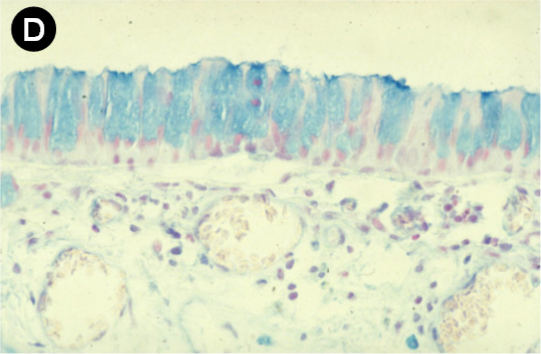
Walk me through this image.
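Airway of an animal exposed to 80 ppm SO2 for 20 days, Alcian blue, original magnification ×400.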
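The blue-filled cells are tall and packed closely side by side, forming most of the thickness of the epithelial layer. Small pinkish-red nuclei lie in a row near the base of the layer, beneath the blue material. The luminal surface is a fairly smooth blue border without a visible fringe of cilia. Below, the loose connective tissue holds scattered nuclei and several round vessels containing blood cells.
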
